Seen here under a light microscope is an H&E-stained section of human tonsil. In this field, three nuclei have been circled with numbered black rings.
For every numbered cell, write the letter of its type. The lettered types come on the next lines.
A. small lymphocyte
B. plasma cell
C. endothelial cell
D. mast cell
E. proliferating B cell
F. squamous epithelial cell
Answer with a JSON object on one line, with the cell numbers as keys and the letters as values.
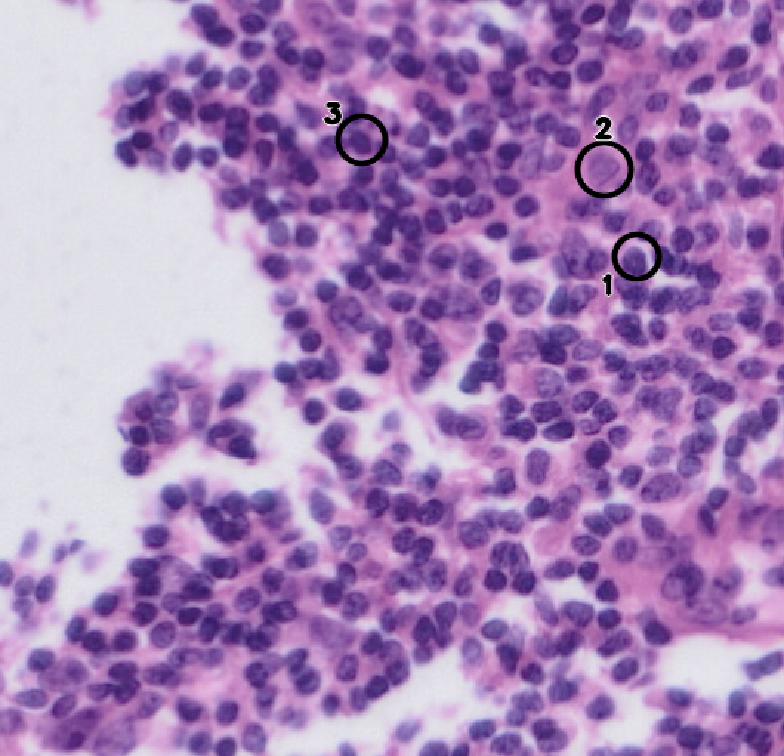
{"1": "A", "2": "C", "3": "A"}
